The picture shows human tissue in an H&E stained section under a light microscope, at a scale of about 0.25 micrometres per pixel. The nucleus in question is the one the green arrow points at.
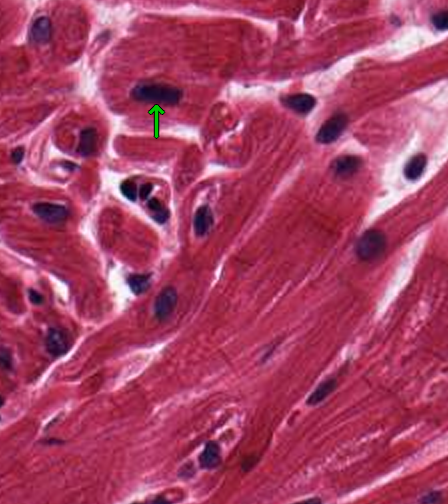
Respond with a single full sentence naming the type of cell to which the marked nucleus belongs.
Here it is a cardiomyocyte that the marked nucleus belongs to.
